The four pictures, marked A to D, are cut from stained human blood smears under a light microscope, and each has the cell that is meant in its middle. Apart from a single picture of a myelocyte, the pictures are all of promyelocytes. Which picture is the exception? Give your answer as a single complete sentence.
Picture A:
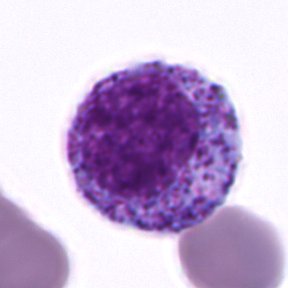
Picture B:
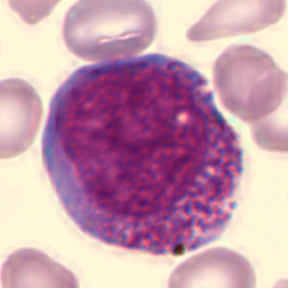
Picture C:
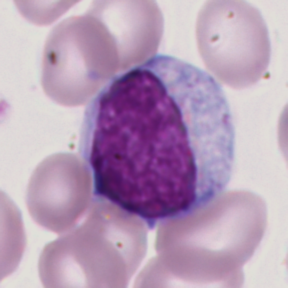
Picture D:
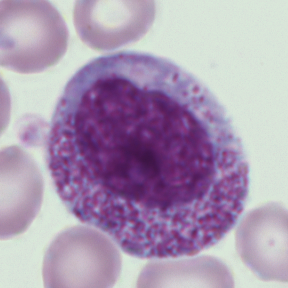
The cell in picture C is the myelocyte.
